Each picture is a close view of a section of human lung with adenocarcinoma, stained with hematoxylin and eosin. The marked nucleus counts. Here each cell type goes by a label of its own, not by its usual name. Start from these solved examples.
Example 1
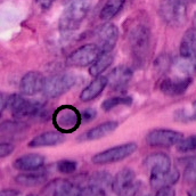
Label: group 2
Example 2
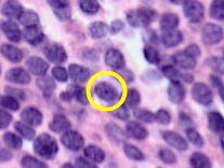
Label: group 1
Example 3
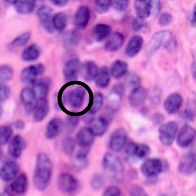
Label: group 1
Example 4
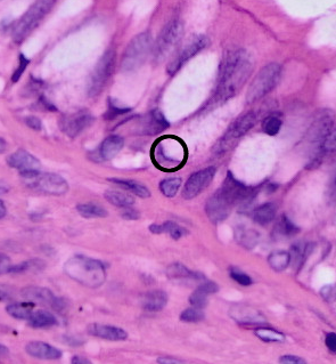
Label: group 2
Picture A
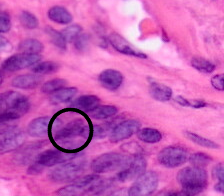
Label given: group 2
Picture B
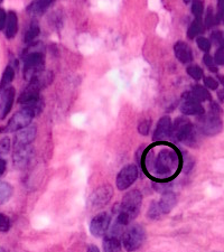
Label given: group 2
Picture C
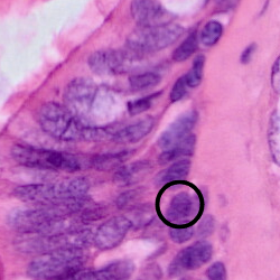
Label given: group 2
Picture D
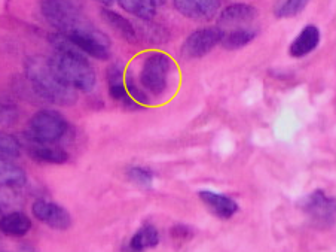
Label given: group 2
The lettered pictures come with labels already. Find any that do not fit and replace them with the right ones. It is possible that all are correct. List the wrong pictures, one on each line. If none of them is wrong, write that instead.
No label is wrong.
